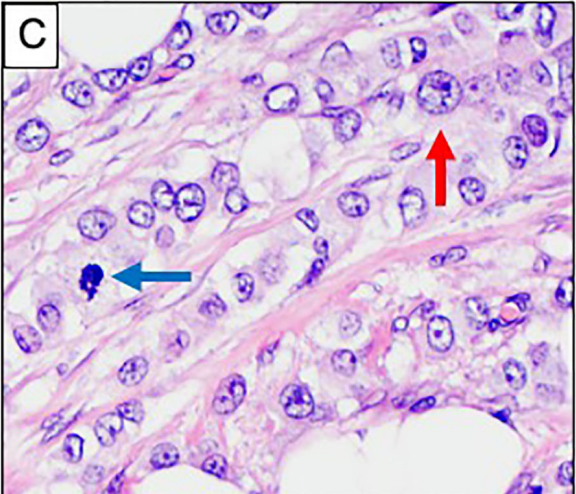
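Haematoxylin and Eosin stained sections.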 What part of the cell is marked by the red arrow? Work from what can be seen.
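The marked nucleus is large and vesicular. A distinct dark dot stands inside the nucleus.
Hence: conspicuous nucleoli.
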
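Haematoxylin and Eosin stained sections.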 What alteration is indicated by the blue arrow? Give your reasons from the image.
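The marked cell holds a dense, dark, irregular clump of chromatin. No nuclear membrane surrounds the clump. On this evidence: mitotic activity.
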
